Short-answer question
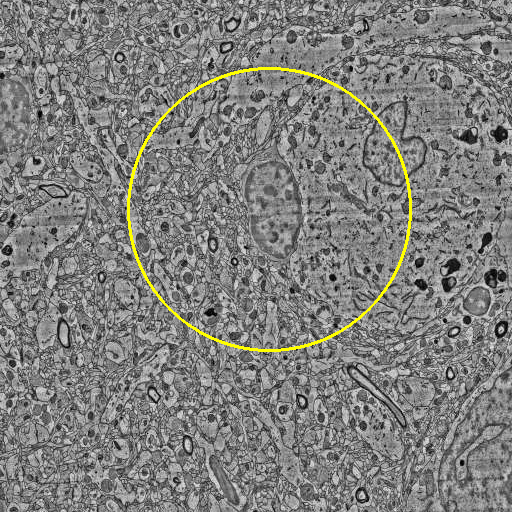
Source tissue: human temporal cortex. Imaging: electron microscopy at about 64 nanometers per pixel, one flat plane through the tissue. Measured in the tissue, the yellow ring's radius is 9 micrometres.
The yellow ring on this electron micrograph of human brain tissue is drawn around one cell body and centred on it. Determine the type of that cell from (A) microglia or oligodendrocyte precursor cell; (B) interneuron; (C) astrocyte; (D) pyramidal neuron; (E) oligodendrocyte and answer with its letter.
E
